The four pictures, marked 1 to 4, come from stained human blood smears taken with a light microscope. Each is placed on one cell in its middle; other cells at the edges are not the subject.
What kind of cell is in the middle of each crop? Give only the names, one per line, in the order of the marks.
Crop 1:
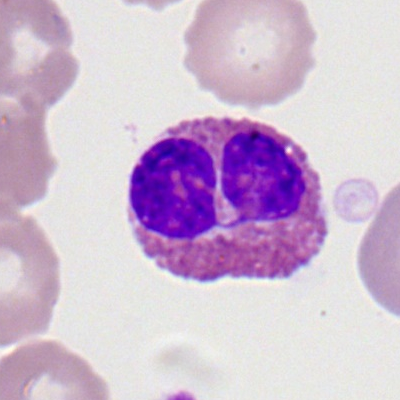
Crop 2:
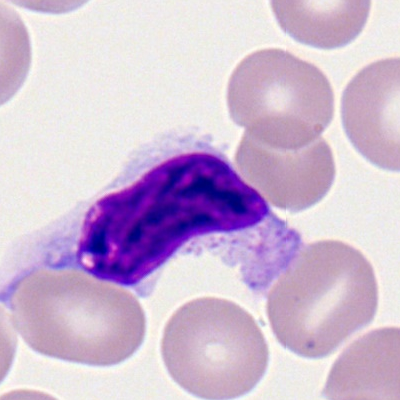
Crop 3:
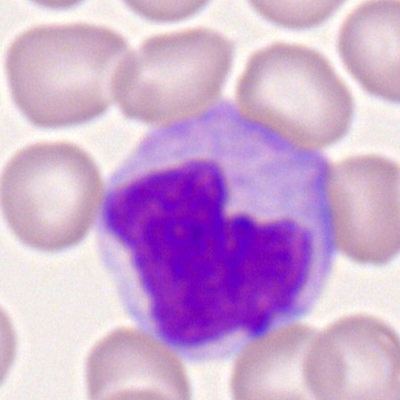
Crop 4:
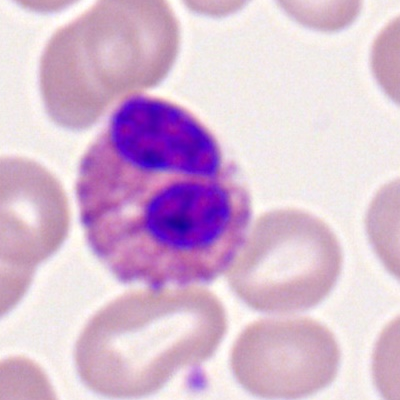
eosinophil
lymphocyte
monocyte
eosinophil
